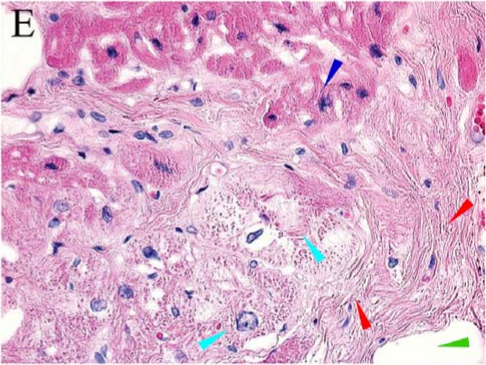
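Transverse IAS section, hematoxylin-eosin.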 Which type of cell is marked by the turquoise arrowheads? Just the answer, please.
Purkinje-like cells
